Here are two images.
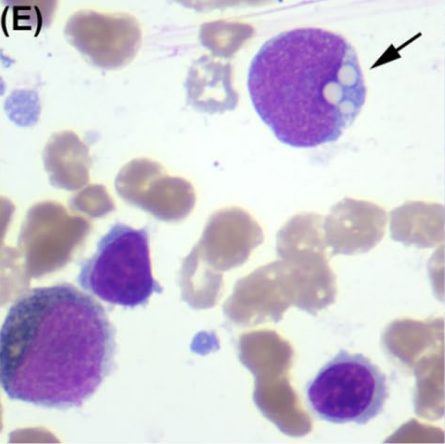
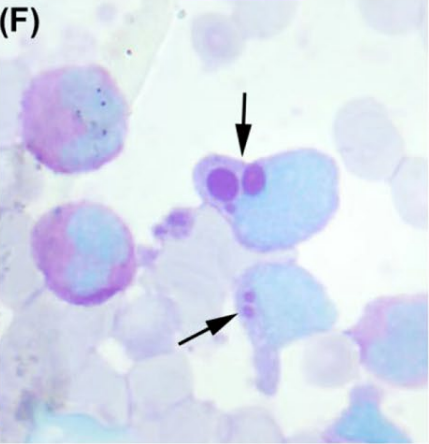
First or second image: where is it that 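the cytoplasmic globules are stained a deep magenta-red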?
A: The second image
